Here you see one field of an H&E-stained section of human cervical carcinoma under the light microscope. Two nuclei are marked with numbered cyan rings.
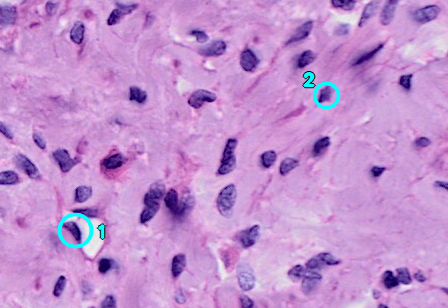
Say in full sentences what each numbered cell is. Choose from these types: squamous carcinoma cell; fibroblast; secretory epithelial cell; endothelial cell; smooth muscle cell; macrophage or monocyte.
Cell 1 is an endothelial cell. Cell 2 is a fibroblast.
